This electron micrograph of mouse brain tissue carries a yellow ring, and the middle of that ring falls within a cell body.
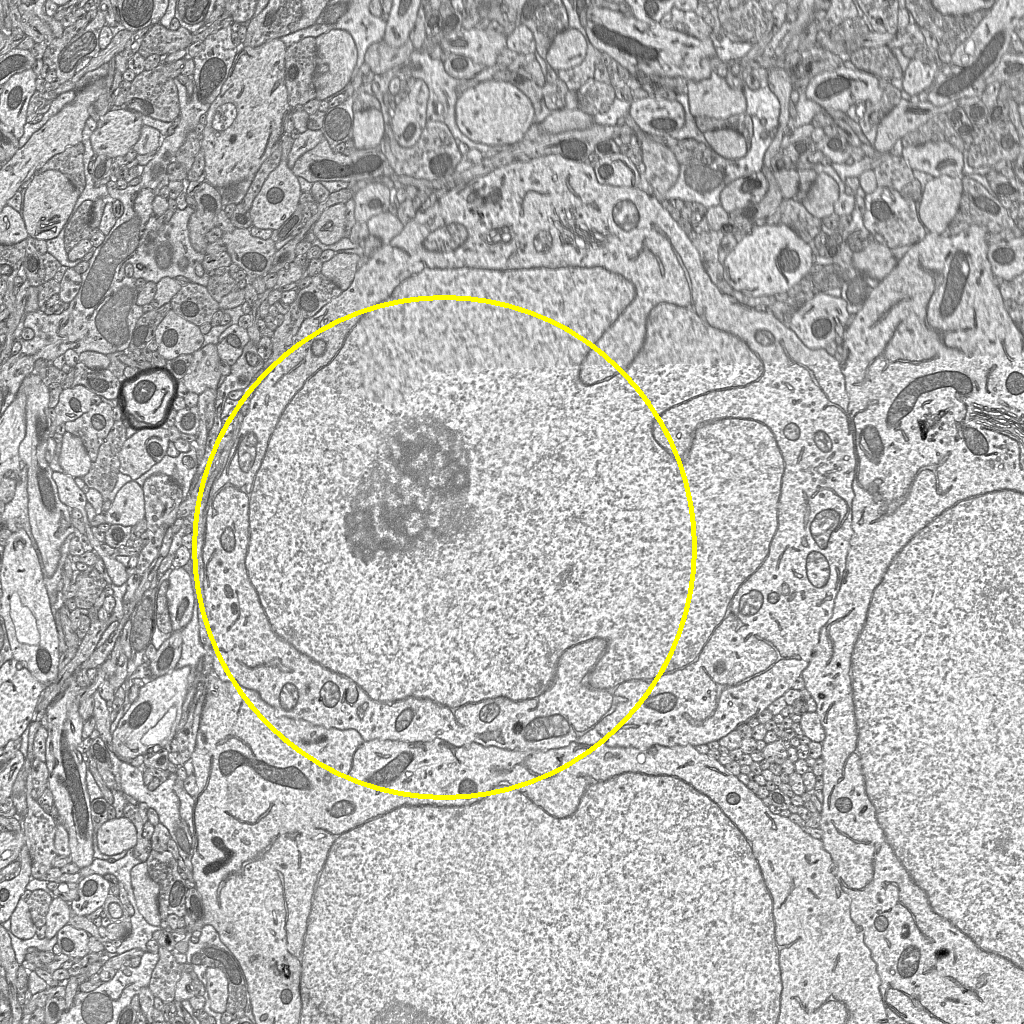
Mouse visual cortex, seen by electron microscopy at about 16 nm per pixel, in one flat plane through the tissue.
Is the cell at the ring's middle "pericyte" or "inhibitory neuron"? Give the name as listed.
inhibitory neuron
